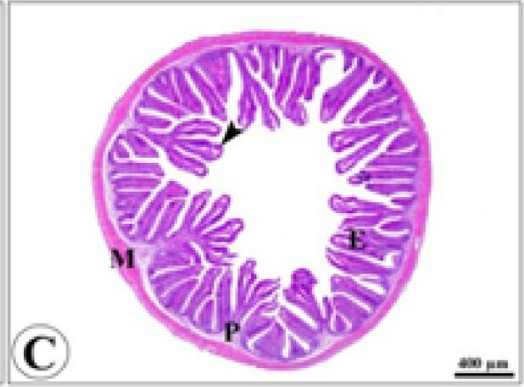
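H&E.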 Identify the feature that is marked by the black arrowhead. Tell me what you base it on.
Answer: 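Tall, closely packed mucosal folds fill much of the lumen. The folds are lined by a purple cell layer and rest on a pink outer wall. That points to this answer: intestinal villi.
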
